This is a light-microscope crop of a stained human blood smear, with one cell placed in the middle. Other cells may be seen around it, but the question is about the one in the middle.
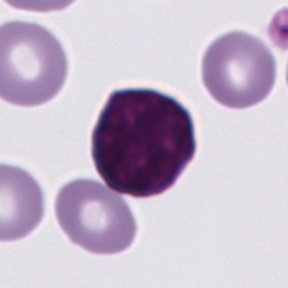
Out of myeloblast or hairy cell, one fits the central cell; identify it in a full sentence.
The cell that lies at the centre of the crop is a myeloblast.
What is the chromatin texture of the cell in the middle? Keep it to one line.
Answer: the chromatin in this nucleus is coarsely clumped.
